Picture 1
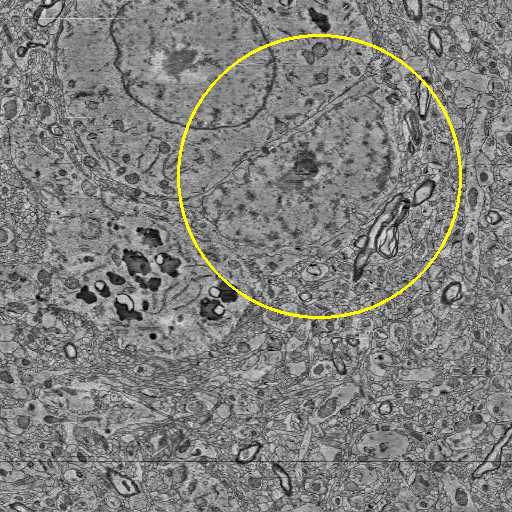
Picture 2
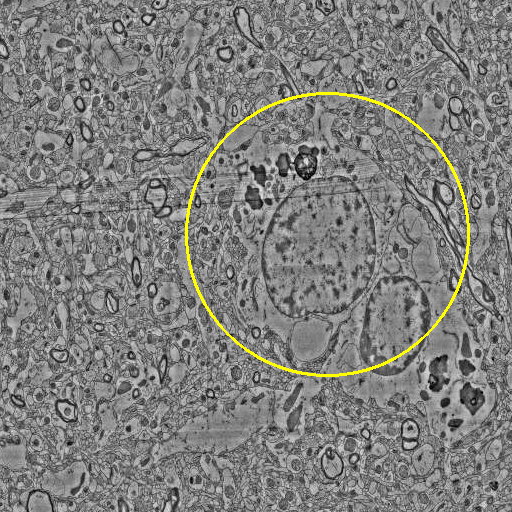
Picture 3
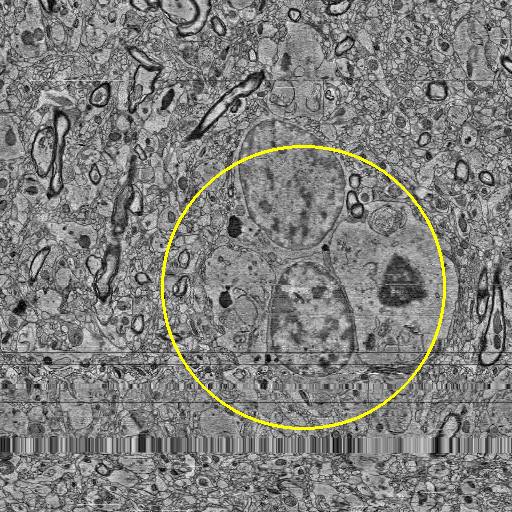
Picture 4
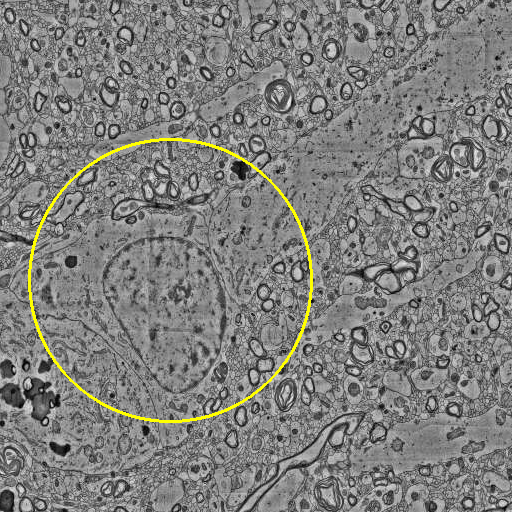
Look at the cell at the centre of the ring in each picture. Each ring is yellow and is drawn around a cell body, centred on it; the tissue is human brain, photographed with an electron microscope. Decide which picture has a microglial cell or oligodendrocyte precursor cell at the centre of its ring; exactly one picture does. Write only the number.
4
